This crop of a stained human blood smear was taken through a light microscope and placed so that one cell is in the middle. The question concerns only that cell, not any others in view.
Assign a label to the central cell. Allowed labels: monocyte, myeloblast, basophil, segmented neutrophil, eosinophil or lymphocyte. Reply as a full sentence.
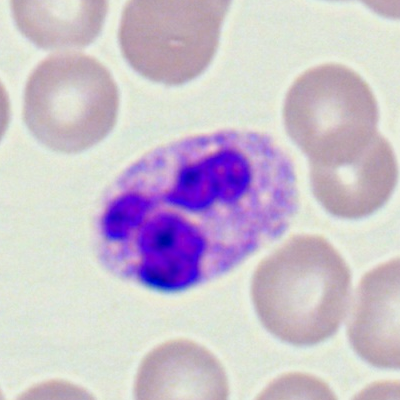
Standing at the centre of this crop is a segmented neutrophil.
